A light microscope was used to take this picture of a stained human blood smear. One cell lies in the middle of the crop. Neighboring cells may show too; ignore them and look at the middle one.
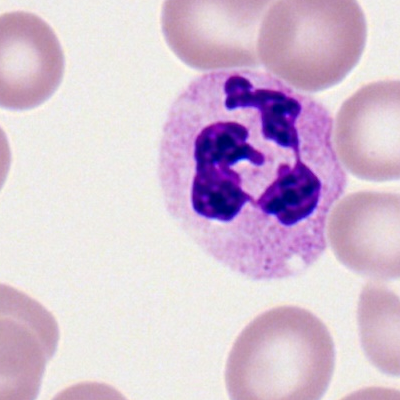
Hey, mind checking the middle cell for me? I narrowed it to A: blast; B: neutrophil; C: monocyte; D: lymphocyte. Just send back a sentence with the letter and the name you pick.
The cell shown centrally is a neutrophil; option B is the correct option.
